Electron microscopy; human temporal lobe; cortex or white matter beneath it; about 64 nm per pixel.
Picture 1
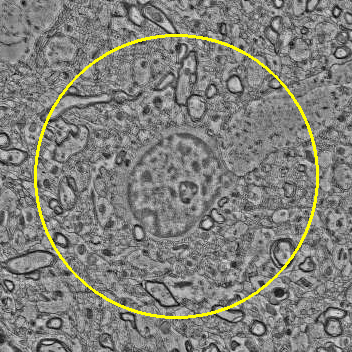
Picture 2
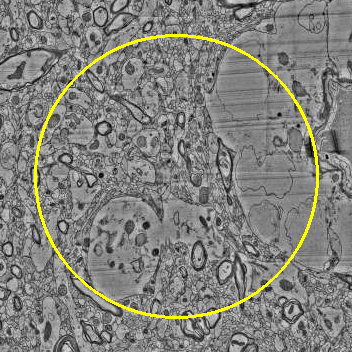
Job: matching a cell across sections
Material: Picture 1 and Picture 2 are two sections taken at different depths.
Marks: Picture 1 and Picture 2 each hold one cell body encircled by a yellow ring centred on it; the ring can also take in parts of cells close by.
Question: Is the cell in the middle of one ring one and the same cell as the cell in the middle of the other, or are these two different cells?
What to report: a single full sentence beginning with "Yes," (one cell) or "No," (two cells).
No, each ring encloses a different cell in the tissue.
